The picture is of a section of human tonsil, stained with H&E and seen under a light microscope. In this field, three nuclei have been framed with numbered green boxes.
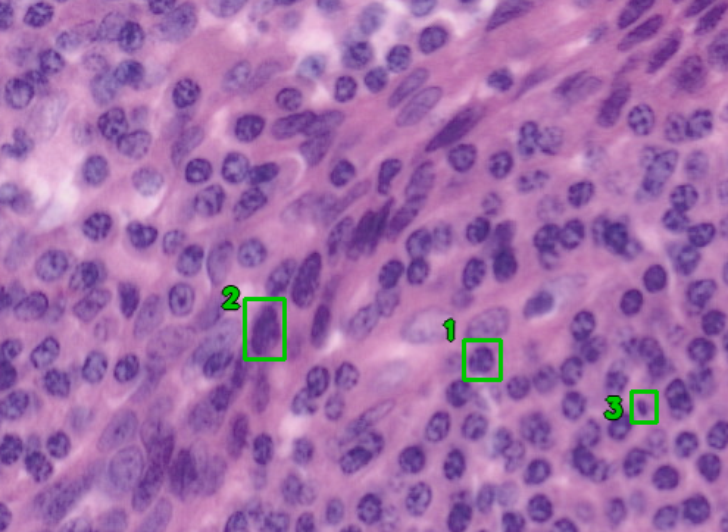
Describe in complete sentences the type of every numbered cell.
Cells 1 and 3 are plasma cells. Cell 2 is a squamous epithelial cell.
